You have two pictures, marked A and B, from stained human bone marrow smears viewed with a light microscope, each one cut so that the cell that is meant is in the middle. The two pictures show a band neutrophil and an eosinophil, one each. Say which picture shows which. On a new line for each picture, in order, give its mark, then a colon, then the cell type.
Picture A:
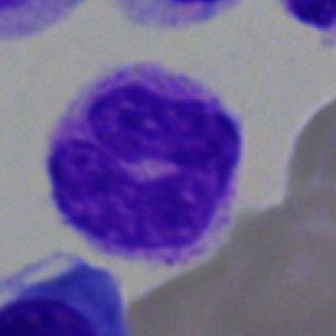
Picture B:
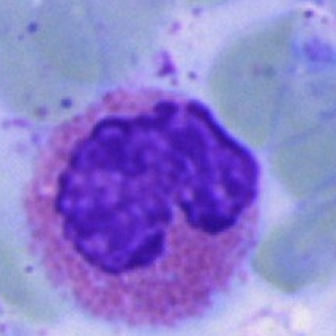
A: band neutrophil
B: eosinophil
